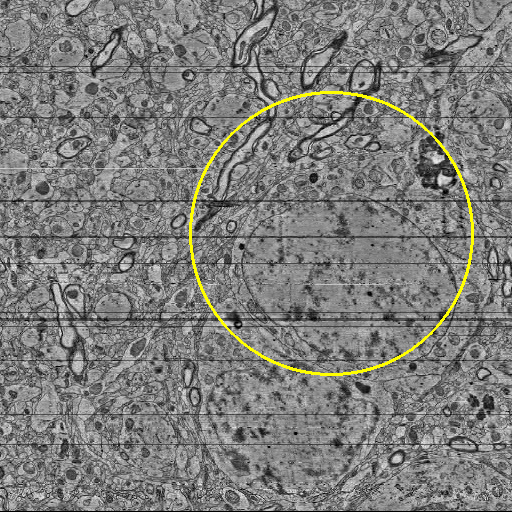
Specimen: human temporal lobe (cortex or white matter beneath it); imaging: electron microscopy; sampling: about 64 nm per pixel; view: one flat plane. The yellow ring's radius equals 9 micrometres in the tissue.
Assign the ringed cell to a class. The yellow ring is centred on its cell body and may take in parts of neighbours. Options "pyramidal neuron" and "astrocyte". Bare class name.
pyramidal neuron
